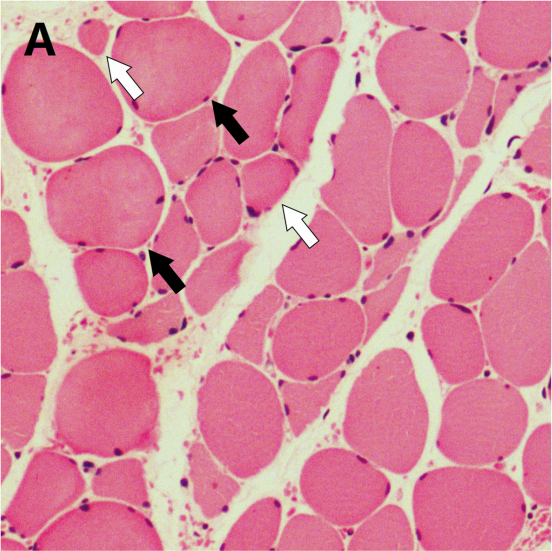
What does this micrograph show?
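This is skeletal muscle cut across, each pink profile being one muscle fibre. The fibres here are unusually rounded and vary a good deal in size, some large and swollen-looking, others small. Their flattened dark purple nuclei sit at the rim of each fibre, just beneath its membrane. Instead of fitting snugly against one another, many fibres are separated by wide pale gaps, and a broad band of loose, pale connective tissue with scattered nuclei runs diagonally across the field. The cytoplasm stains fairly evenly pink, without the fine mottling of well-packed fibres.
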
